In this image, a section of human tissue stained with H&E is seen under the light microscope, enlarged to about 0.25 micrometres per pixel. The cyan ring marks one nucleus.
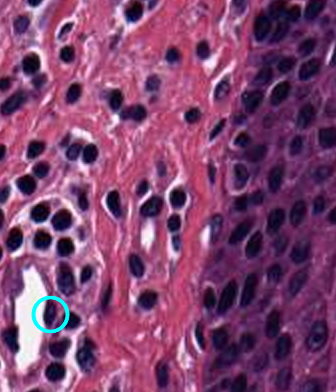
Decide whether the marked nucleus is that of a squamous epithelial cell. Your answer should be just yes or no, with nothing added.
no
